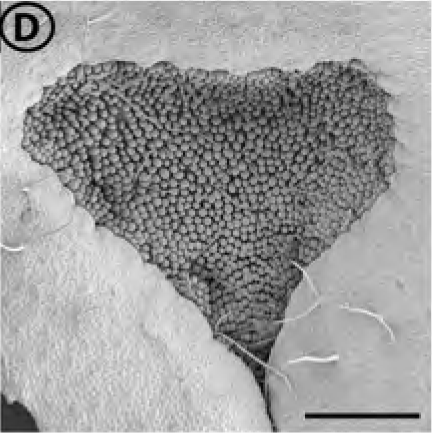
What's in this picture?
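The papillae are small, rounded, dome-shaped epidermal cells pressed tightly together, giving a cobbled, honeycomb-like texture across a roughly triangular field. The surrounding surface is smooth and flat by contrast, with a few scattered hairs lying on it. Toward the lower tip the field narrows where a fold of smooth tissue overlaps its edge. The border between papillate pit and ordinary epidermis is sharp and slightly scalloped.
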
